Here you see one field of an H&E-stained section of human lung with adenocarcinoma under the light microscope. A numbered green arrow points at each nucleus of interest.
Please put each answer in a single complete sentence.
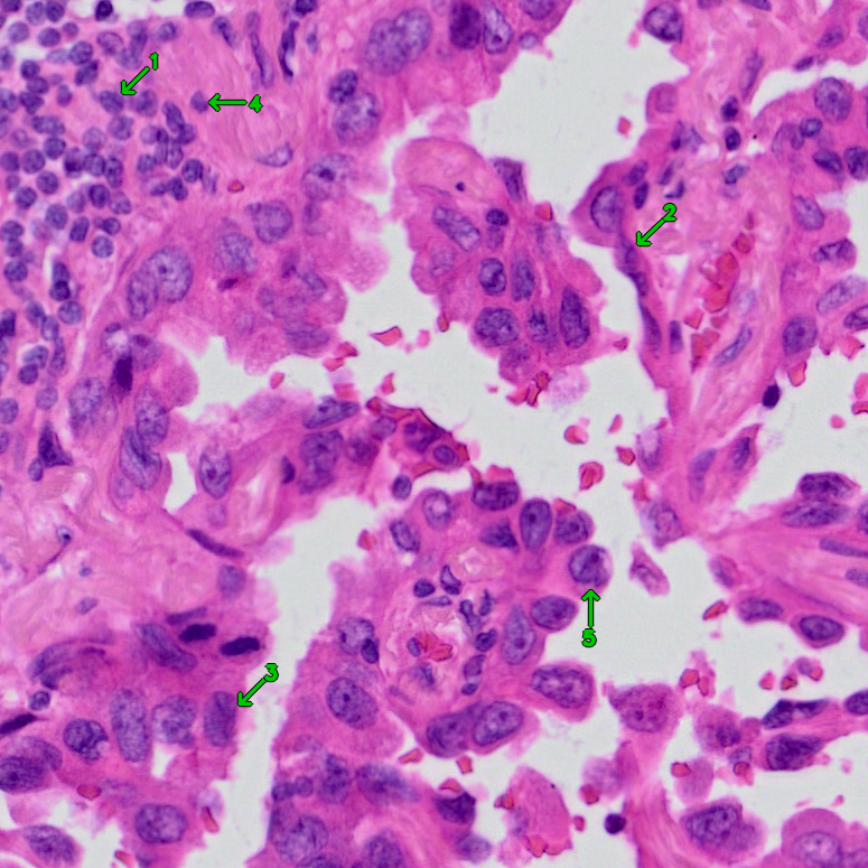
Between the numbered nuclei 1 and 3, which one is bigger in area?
At about 4 times the area of nucleus 1, nucleus 3 is the larger of the two.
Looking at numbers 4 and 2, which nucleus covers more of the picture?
It is nucleus 2, which covers about 2.5 times the area of nucleus 4.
